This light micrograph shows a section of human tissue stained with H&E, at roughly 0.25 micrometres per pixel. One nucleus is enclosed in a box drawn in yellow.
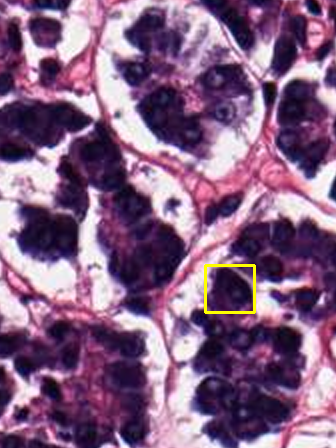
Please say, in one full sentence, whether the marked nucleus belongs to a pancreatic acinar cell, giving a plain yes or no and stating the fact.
Yes, the marked nucleus is held by a pancreatic acinar cell.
